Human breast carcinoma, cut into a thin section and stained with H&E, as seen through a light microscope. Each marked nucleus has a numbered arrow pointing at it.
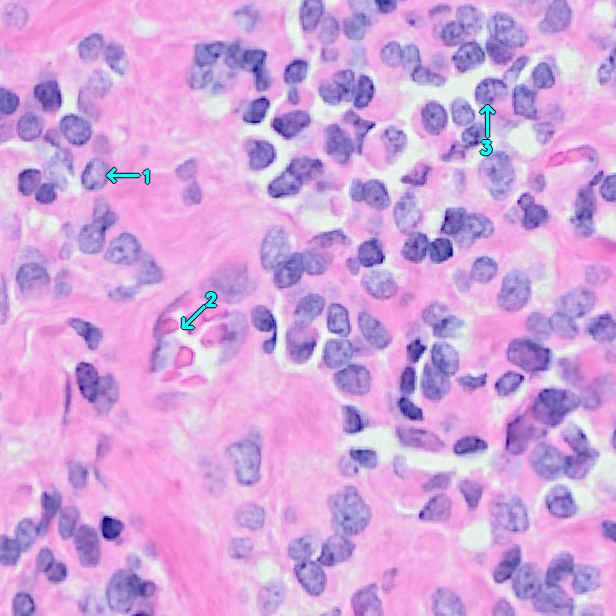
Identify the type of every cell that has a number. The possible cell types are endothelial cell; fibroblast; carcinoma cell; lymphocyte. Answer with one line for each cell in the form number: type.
1: carcinoma cell
2: endothelial cell
3: carcinoma cell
